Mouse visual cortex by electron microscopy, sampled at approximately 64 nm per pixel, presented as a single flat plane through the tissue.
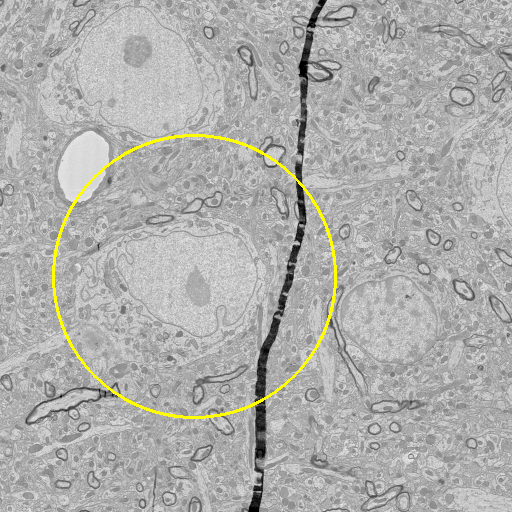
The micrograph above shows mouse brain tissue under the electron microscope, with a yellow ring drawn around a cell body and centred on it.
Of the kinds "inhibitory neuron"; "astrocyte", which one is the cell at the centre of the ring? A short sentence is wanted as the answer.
The one at the centre of the ring is an inhibitory neuron.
